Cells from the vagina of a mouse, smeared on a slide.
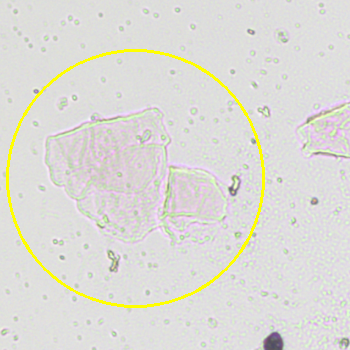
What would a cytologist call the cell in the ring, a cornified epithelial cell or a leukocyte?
A cytologist would call it a cornified epithelial cell.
